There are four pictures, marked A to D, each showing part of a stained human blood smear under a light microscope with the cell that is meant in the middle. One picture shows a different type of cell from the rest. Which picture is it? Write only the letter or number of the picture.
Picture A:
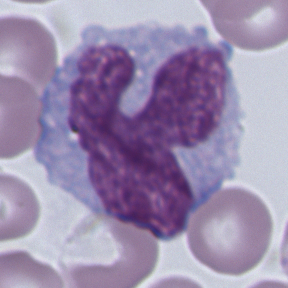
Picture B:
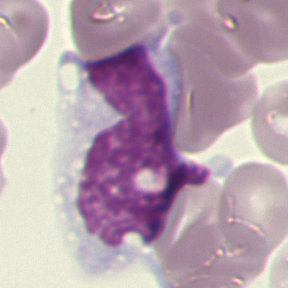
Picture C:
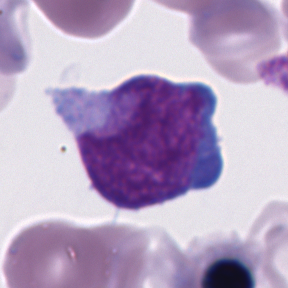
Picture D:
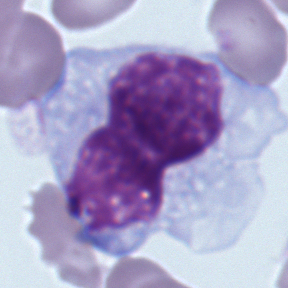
C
